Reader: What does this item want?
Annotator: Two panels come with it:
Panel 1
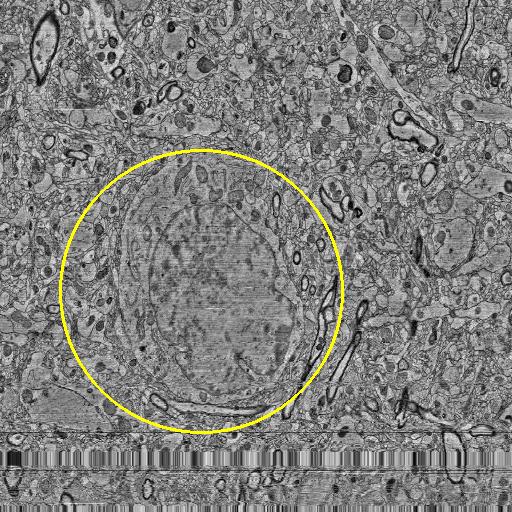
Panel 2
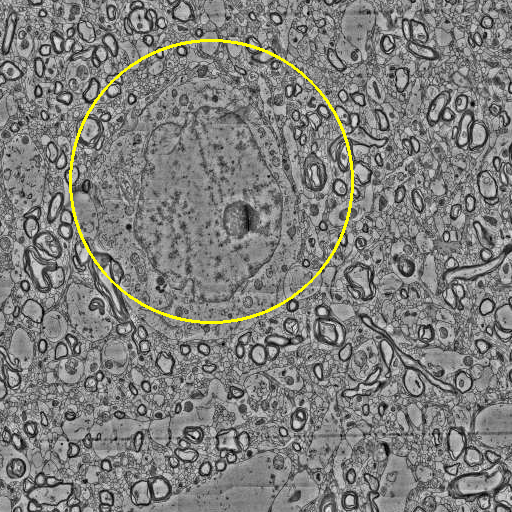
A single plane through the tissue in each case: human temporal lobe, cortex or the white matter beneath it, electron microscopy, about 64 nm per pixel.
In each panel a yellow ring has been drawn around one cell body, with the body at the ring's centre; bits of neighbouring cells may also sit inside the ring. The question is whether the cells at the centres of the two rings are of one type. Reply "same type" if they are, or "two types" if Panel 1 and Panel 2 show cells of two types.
same type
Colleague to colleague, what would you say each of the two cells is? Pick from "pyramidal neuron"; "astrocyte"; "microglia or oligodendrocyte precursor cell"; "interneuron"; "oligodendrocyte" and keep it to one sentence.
The cell in the first picture is an interneuron, and so is the one in the second.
